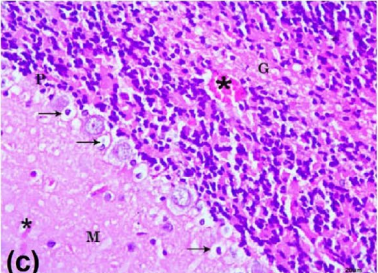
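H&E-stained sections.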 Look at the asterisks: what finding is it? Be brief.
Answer: Vascular congestion.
